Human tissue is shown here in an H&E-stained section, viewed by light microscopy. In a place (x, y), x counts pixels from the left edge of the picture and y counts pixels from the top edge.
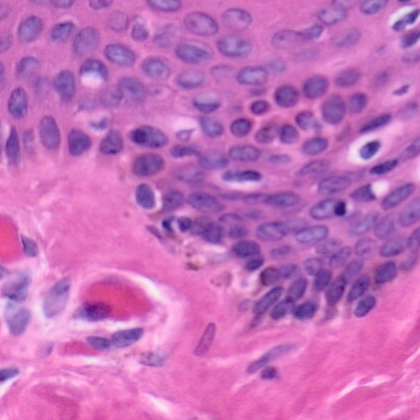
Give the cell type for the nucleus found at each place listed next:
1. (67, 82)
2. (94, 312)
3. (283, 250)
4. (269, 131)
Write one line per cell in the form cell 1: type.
cell 1: suprabasal keratinocyte
cell 2: endothelial cell
cell 3: basal keratinocyte
cell 4: basal keratinocyte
